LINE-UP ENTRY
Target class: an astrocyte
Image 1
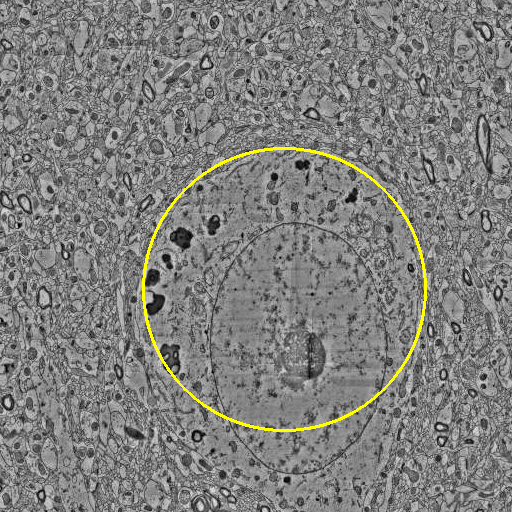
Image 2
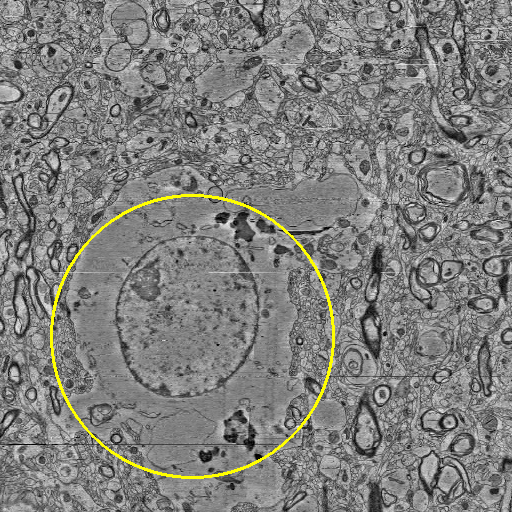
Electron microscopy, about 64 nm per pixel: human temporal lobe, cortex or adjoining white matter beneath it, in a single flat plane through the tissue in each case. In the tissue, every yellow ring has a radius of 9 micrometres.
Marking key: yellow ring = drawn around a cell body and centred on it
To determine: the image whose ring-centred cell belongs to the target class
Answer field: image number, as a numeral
2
